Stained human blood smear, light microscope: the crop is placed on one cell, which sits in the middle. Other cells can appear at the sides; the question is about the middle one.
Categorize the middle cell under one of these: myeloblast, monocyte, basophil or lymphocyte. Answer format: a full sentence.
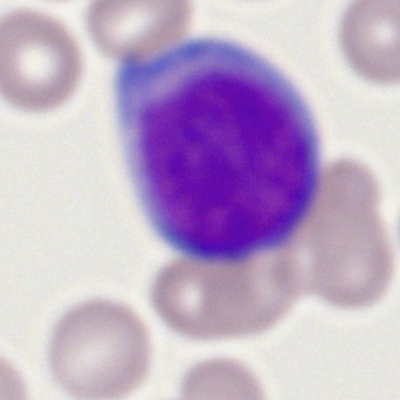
In this crop, the cell at the very middle is a myeloblast.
